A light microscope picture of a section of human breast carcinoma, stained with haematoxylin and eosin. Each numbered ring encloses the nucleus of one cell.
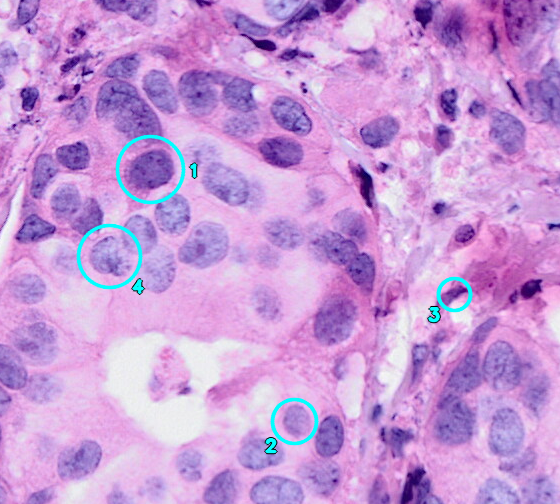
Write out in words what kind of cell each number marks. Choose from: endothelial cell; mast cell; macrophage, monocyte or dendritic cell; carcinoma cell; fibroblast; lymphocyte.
Cells 1, 2 and 4 are carcinoma cells. Cell 3 is a fibroblast.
